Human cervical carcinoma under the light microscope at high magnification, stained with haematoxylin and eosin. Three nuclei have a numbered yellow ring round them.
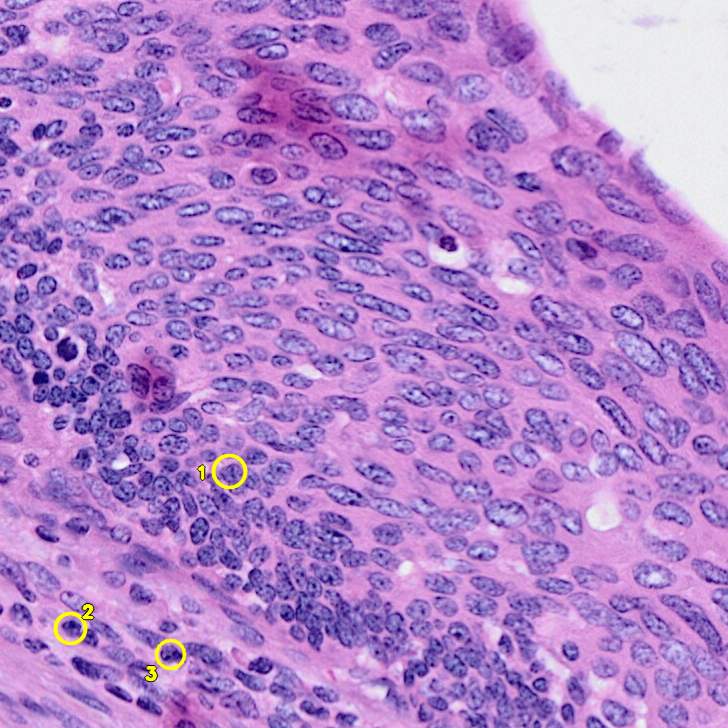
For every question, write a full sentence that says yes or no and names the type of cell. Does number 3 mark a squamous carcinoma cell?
No, cell 3 is not to be taken for a squamous carcinoma cell; it is a lymphocyte.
